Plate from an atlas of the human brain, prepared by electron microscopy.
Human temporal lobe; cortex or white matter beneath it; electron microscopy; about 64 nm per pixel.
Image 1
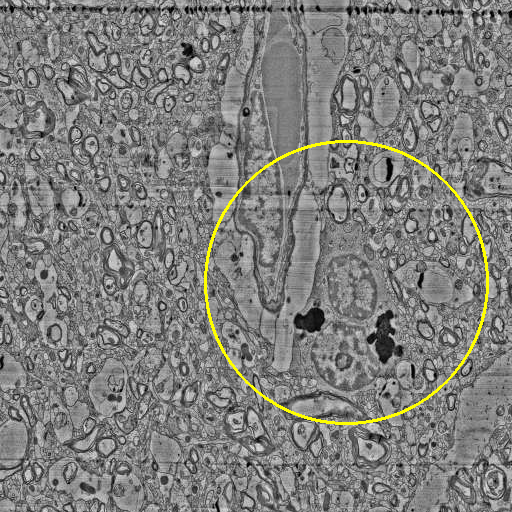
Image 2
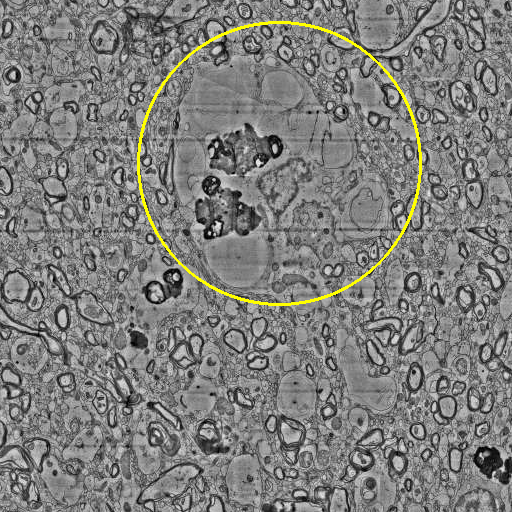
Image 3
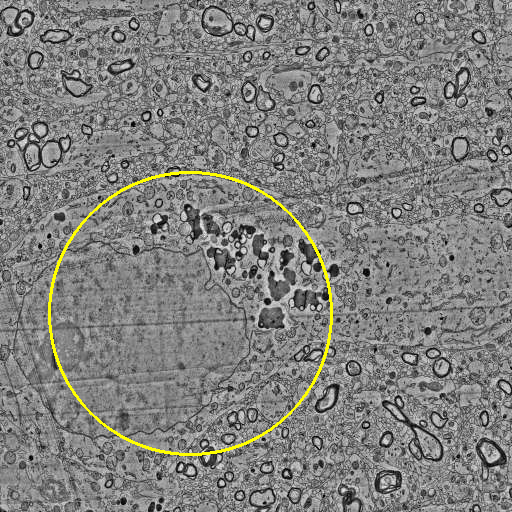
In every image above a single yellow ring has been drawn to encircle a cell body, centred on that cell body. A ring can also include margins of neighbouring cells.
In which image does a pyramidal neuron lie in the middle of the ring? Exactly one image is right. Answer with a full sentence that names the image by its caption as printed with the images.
Image 3 holds the requested cell at the very centre of its ring.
